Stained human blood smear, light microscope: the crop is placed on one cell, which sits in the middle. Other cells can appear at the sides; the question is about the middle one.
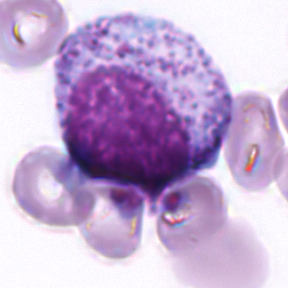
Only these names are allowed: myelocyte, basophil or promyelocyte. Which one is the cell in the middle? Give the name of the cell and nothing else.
myelocyte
